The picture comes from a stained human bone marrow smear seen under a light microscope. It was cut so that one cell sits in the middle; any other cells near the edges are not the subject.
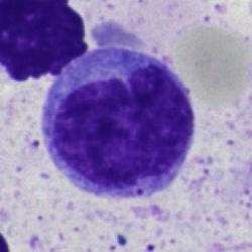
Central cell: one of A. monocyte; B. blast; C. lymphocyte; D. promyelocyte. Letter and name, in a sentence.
Since the cell in the middle is a monocyte, option A is correct.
